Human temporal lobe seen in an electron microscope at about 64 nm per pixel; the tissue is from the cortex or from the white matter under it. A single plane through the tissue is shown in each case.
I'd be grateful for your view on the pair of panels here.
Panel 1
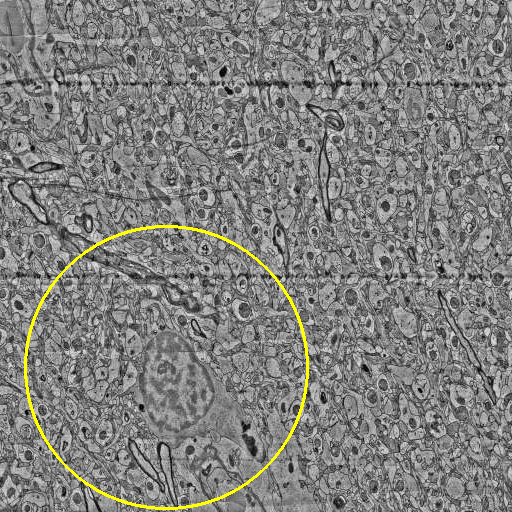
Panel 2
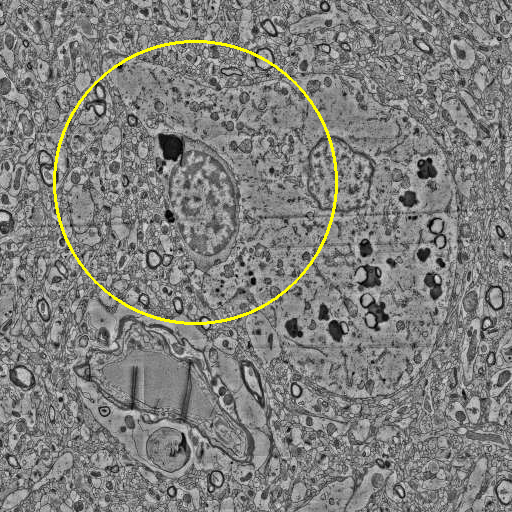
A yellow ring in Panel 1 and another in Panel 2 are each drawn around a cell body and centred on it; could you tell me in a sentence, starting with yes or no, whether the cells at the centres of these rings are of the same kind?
Yes, they are the same kind of cell.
